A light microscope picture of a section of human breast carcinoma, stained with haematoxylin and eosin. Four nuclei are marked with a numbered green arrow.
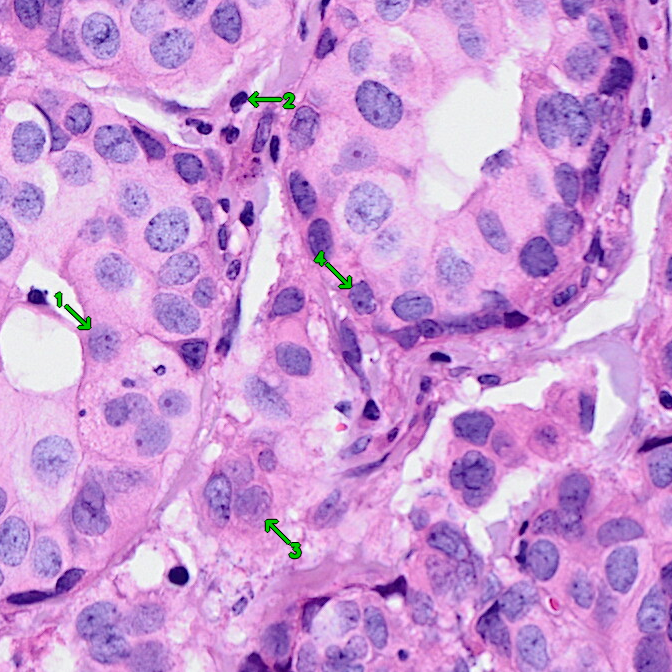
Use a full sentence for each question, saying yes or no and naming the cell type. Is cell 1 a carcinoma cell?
Yes, the nucleus numbered 1 belongs to a carcinoma cell.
